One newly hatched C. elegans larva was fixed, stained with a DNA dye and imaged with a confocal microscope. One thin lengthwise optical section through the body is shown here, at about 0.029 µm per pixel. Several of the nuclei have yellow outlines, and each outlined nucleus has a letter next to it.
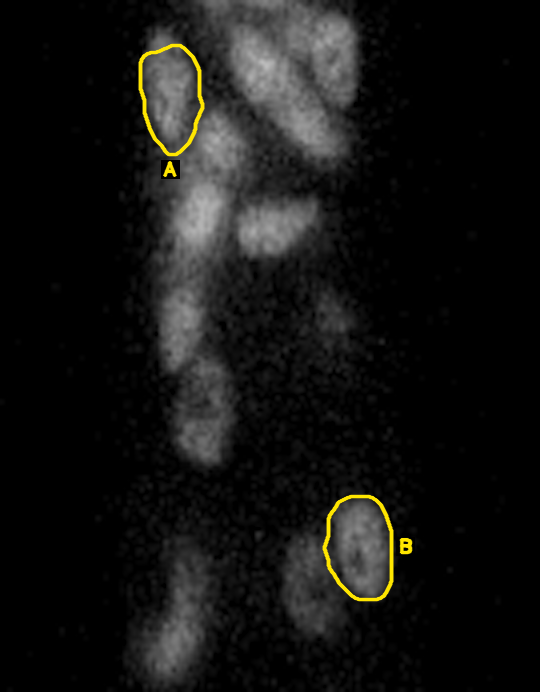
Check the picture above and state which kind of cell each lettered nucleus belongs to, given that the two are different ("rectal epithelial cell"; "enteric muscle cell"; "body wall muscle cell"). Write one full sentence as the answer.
B belongs to a body wall muscle cell, and A to a rectal epithelial cell.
